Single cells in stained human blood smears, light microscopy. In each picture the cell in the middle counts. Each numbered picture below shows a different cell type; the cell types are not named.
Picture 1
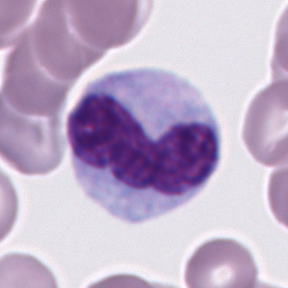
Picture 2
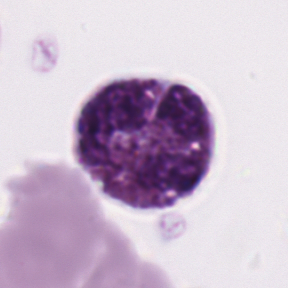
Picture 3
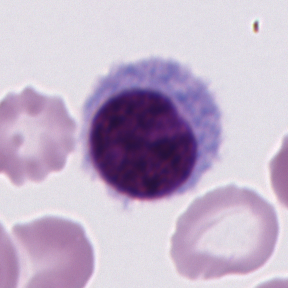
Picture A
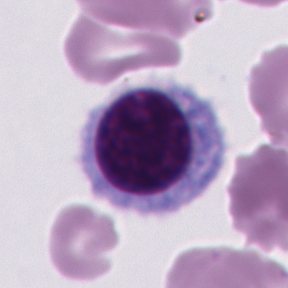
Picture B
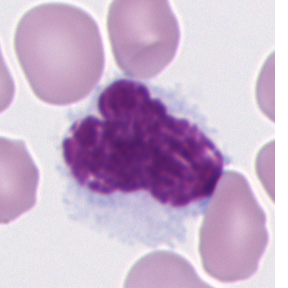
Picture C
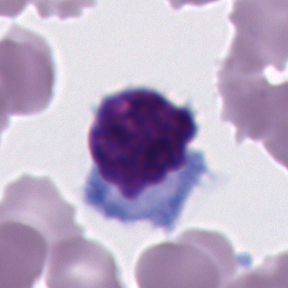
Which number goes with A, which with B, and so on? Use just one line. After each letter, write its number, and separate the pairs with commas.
A 3, B 3, C 3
